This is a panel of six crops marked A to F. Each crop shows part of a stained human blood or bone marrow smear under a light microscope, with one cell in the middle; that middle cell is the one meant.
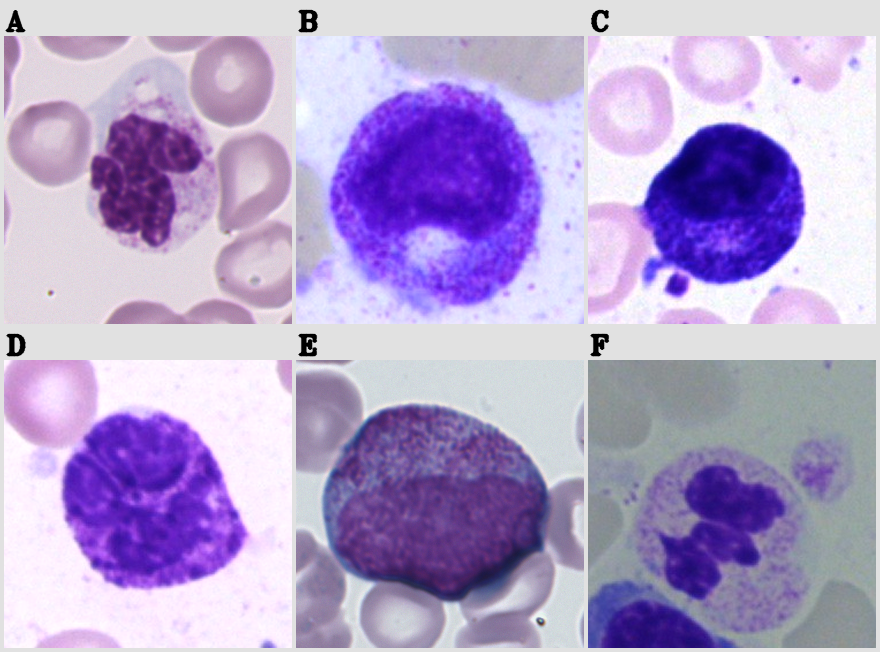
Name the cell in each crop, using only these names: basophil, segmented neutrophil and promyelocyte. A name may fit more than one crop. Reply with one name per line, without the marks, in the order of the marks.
segmented neutrophil
promyelocyte
promyelocyte
basophil
promyelocyte
segmented neutrophil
